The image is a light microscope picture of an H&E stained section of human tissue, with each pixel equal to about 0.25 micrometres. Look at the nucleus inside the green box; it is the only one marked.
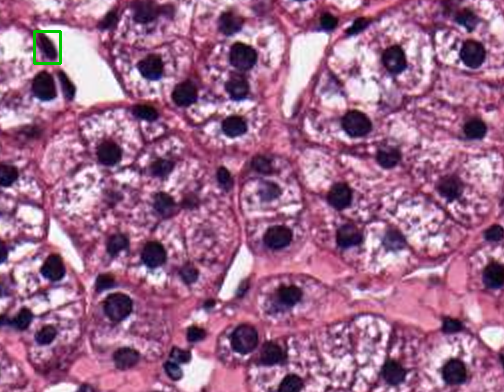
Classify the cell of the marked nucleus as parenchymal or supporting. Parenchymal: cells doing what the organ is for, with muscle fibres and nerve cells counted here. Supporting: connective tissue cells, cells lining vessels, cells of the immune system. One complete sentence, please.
The marked nucleus is recognized as that of a supporting cell.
